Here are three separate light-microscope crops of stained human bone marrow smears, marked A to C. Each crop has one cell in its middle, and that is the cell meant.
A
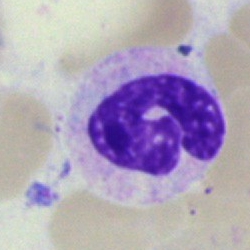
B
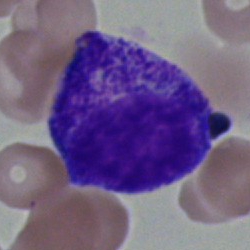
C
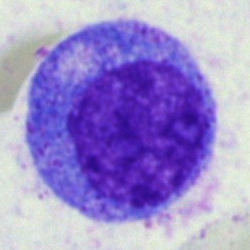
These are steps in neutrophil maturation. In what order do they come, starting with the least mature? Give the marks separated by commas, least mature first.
C, B, A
